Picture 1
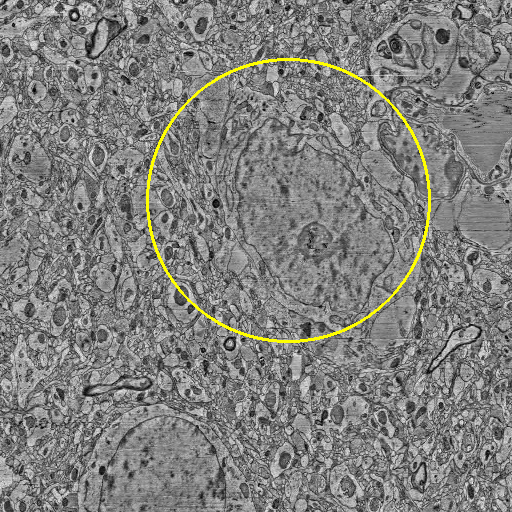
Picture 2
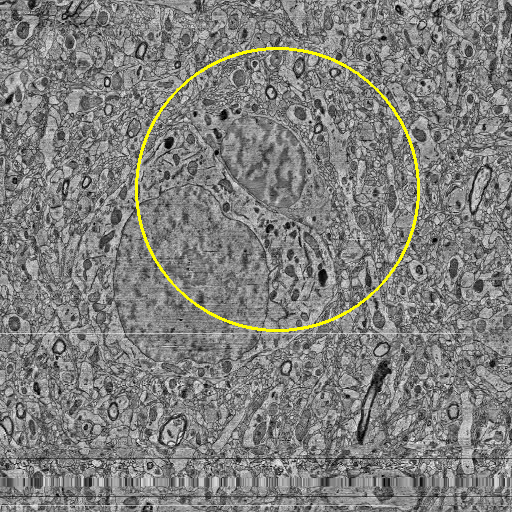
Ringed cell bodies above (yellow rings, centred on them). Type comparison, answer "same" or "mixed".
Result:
mixed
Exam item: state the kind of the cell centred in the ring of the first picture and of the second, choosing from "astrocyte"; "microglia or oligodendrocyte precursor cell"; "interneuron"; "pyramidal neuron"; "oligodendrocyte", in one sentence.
The first picture shows an interneuron at the ring centre and the second shows an oligodendrocyte.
